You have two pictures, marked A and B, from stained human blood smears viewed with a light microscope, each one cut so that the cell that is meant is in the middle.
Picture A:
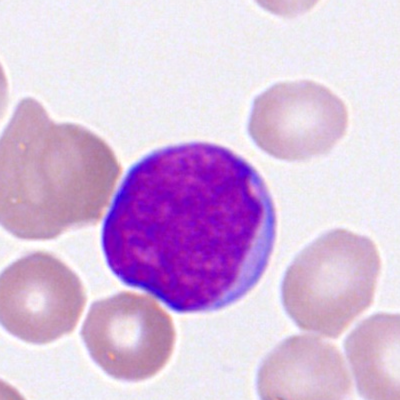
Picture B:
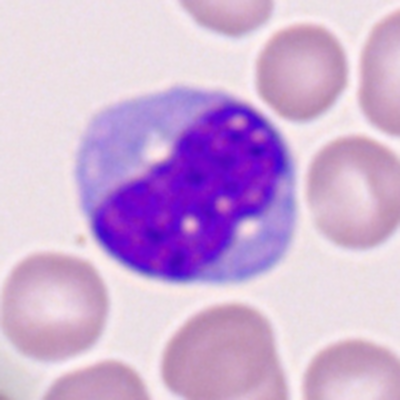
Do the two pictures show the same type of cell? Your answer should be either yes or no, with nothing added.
no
